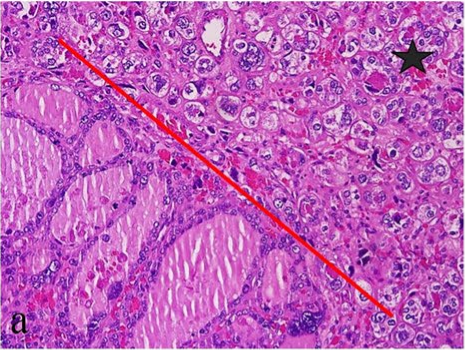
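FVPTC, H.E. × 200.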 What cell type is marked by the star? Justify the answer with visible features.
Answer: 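On the star side the cells are large with big irregular nuclei and prominent nucleoli. The other side of the line shows colloid-filled follicles. That points to this answer: anaplastic cells.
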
